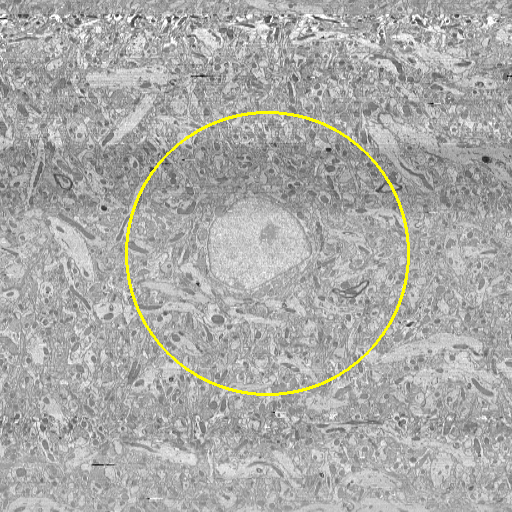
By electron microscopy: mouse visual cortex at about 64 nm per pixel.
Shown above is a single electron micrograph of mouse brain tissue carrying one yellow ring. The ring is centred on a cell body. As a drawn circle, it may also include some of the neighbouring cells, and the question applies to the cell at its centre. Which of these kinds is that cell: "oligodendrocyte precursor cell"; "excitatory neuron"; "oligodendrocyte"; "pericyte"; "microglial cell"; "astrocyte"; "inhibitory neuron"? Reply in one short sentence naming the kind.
The cell marked by the ring is an astrocyte.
